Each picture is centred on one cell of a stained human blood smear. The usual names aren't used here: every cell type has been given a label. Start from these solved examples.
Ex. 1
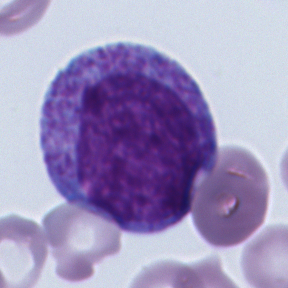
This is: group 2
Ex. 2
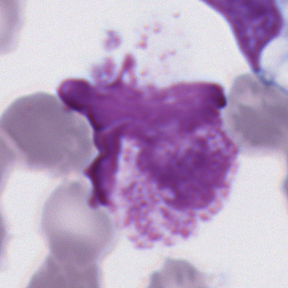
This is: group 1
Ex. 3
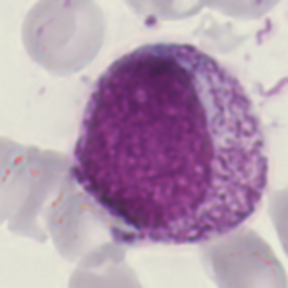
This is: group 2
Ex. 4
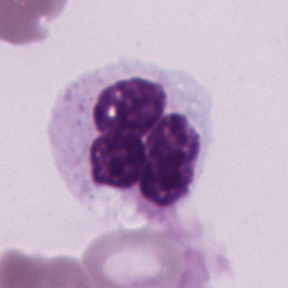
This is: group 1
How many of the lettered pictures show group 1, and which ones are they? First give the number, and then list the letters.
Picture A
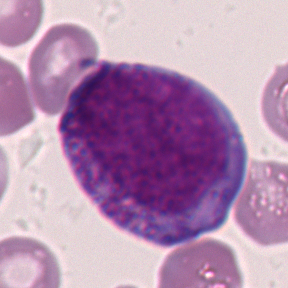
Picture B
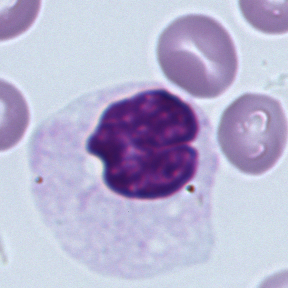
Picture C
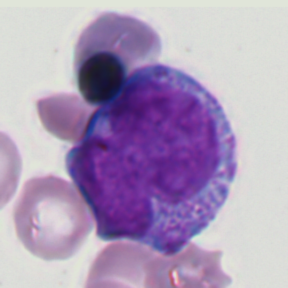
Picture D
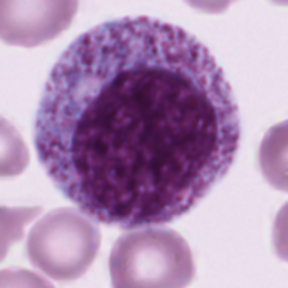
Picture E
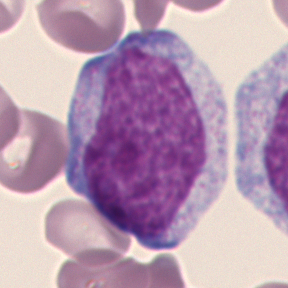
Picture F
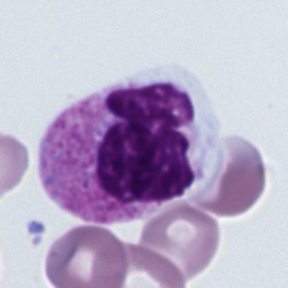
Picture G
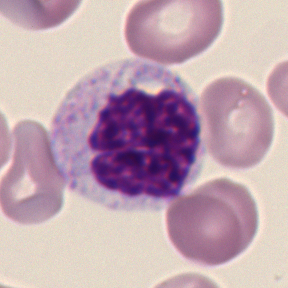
3, namely B, F, G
